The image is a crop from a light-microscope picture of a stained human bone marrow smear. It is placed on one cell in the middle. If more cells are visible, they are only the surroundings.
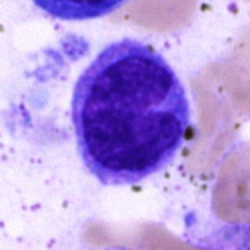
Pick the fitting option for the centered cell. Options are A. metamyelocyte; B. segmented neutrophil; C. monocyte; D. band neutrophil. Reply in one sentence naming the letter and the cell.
According to option C, which is correct, the cell in the middle is a monocyte.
